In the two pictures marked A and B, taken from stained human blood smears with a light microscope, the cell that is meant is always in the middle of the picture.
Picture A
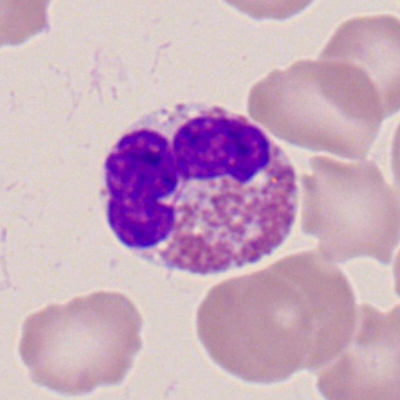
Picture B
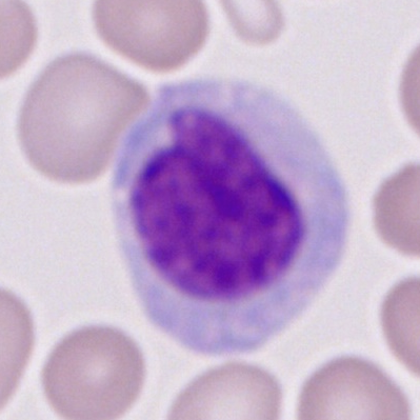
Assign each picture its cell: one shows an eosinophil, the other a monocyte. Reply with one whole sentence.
In picture A the cell is an eosinophil; in picture B, a monocyte.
